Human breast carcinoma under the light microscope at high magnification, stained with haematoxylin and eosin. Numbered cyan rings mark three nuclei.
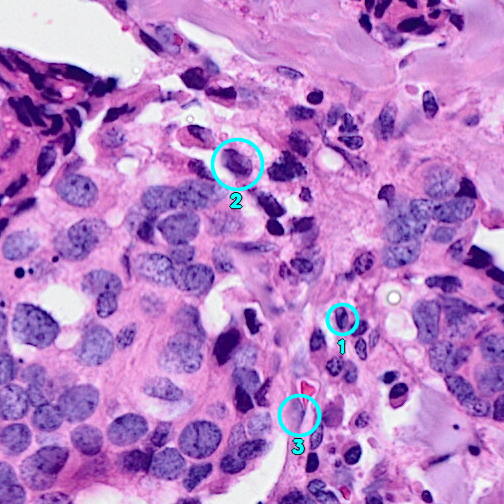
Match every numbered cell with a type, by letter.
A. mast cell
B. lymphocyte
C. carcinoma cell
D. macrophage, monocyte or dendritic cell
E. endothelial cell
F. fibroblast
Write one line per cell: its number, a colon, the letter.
1: B
2: C
3: E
